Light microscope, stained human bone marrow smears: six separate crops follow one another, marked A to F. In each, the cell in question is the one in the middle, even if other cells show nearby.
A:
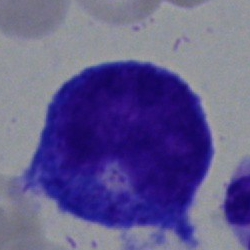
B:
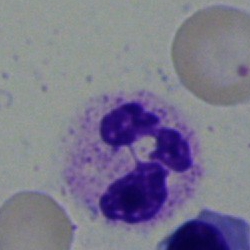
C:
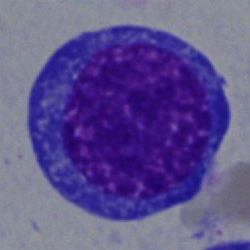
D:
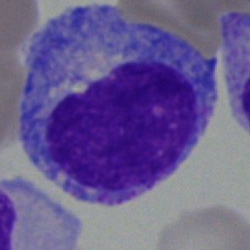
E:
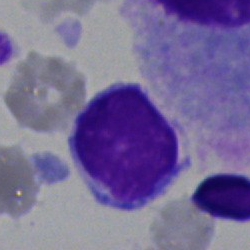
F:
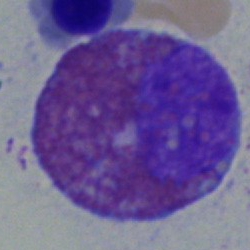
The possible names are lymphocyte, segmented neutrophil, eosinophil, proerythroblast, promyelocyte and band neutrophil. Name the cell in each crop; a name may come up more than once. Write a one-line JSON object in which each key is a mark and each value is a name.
{"A": "promyelocyte", "B": "segmented neutrophil", "C": "proerythroblast", "D": "promyelocyte", "E": "lymphocyte", "F": "eosinophil"}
